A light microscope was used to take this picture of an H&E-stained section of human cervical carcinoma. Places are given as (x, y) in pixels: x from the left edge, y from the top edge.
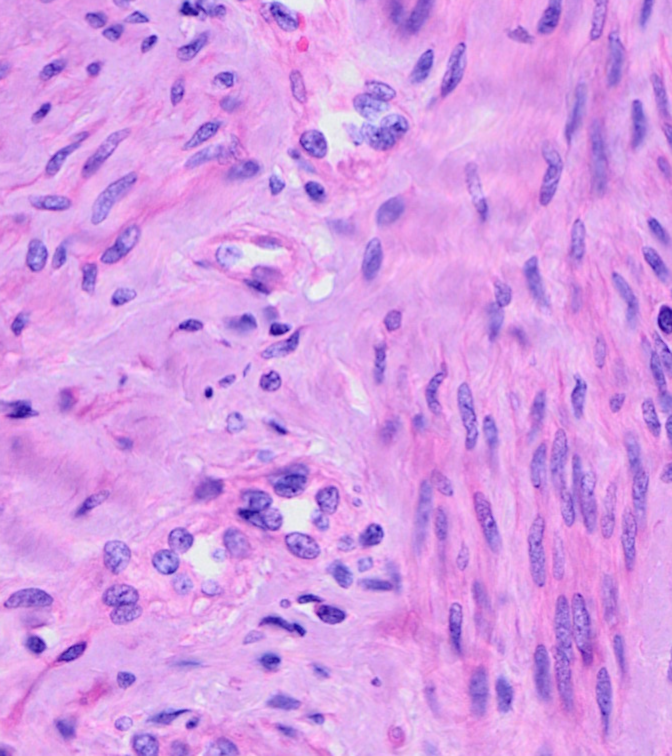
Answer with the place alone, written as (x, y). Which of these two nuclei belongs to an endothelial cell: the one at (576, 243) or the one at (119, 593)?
(119, 593)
